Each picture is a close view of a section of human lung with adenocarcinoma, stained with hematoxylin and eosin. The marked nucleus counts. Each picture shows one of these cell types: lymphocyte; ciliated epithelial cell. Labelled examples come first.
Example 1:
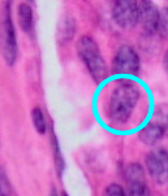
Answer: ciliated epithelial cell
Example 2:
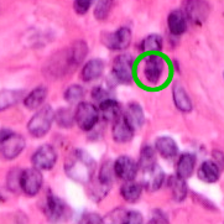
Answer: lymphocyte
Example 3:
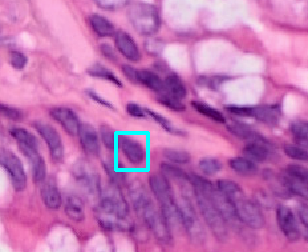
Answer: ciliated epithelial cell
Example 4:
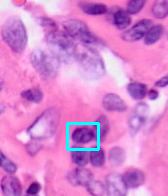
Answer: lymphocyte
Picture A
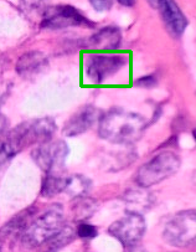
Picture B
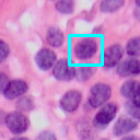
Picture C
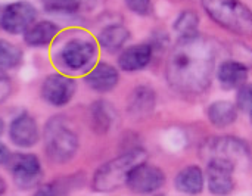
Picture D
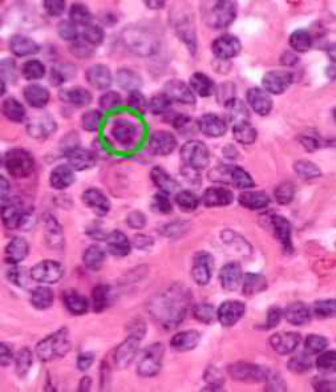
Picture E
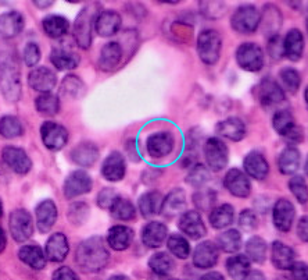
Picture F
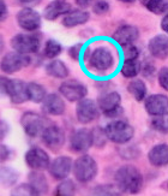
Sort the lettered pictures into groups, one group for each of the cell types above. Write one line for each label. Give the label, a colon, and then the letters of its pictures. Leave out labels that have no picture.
lymphocyte: B, C, D, E, F
ciliated epithelial cell: A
